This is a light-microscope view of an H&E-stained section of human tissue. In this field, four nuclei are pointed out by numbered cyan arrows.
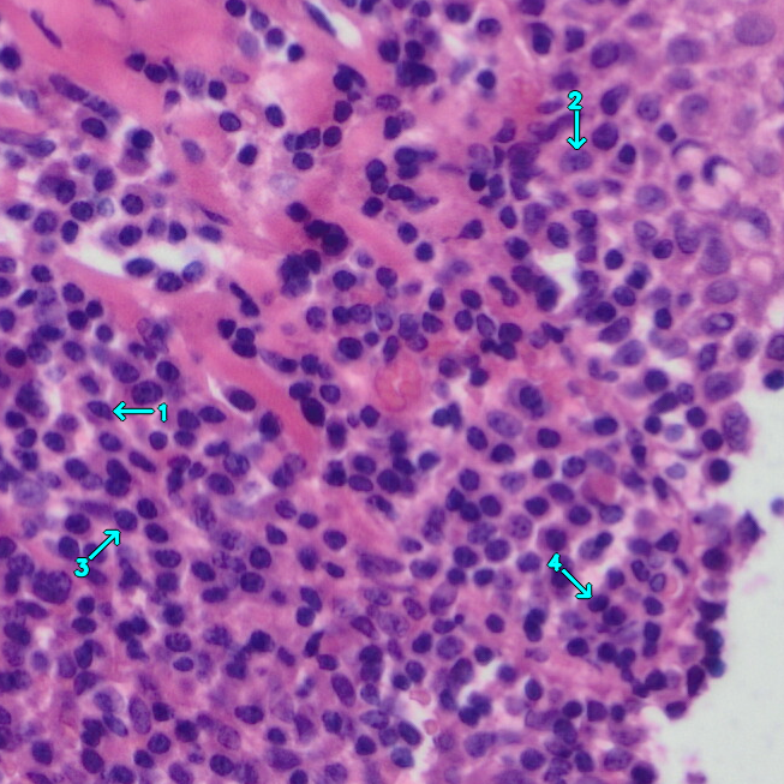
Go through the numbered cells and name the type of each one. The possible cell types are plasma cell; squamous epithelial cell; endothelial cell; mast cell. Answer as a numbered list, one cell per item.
1. plasma cell
2. squamous epithelial cell
3. plasma cell
4. plasma cell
